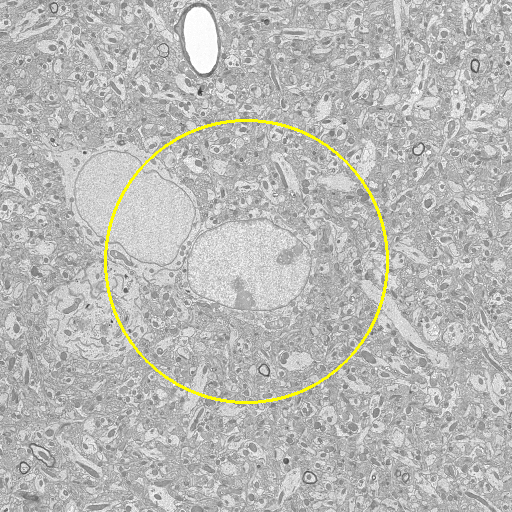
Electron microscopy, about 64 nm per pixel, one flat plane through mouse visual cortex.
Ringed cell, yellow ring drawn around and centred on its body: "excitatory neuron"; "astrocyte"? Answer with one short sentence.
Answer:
This ringed cell is an astrocyte.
